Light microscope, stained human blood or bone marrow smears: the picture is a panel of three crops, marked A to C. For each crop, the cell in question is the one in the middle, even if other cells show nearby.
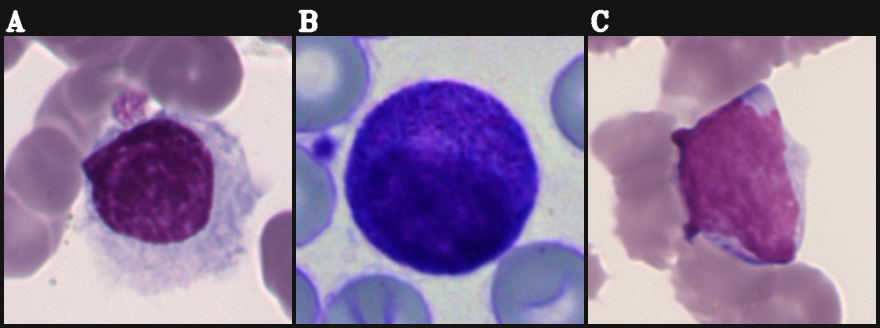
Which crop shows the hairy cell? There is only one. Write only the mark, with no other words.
A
